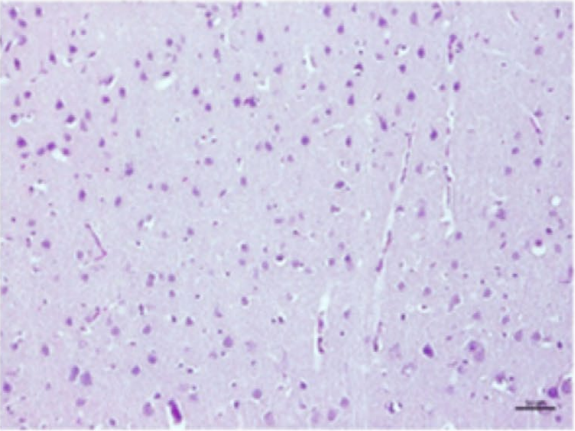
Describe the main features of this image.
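This is brain cortex with neurons scattered evenly through a smooth, pale lilac neuropil. The neuronal cell bodies are stained purple, many of them rounded or triangular in outline. The cells lie snugly in the surrounding tissue, with few clear spaces around them. Thin, elongated blood vessels run through the field, some oriented roughly vertically.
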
